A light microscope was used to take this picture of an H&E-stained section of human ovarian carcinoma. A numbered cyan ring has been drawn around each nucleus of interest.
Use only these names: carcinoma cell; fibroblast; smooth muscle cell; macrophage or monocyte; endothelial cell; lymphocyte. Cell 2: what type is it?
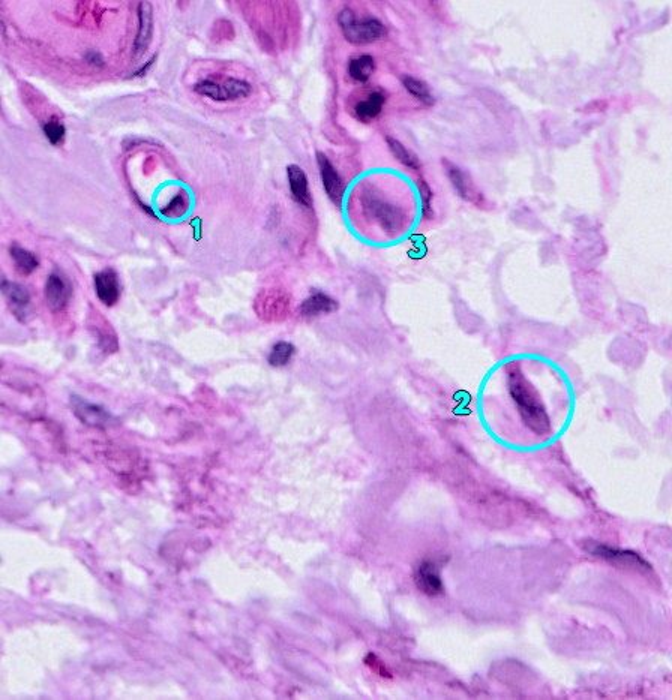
fibroblast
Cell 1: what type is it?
endothelial cell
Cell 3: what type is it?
endothelial cell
